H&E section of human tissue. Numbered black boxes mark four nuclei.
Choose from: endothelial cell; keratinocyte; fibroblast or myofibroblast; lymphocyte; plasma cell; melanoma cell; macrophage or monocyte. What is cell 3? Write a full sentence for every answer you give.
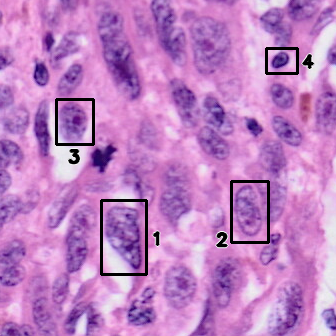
To a melanoma cell belongs the nucleus marked 3.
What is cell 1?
The cell identified by the number 1 is a melanoma cell.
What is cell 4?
The one labeled 4 is a lymphocyte, to put it simply.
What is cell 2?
Number 2 is placed on a melanoma cell here.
